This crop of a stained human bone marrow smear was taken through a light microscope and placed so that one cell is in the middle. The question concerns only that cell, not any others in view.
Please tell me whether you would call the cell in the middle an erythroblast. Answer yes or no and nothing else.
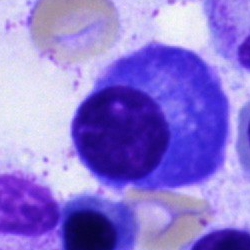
no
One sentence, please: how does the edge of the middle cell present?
Around its whole circumference the outline stays smooth, free of projections.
